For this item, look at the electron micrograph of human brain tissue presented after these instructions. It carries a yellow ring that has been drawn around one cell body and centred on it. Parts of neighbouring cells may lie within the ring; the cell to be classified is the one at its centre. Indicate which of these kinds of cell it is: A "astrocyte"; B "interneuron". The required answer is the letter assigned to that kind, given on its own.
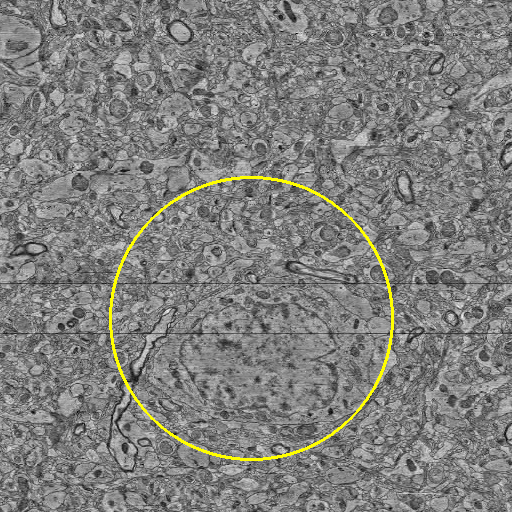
B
